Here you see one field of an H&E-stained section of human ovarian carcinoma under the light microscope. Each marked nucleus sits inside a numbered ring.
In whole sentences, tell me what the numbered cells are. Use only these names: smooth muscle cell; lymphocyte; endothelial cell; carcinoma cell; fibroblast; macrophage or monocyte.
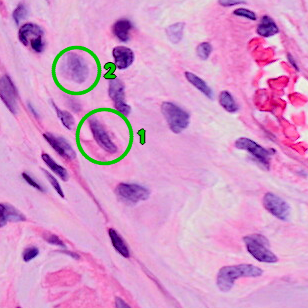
Cell 1 is an endothelial cell. Cell 2 is a fibroblast.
